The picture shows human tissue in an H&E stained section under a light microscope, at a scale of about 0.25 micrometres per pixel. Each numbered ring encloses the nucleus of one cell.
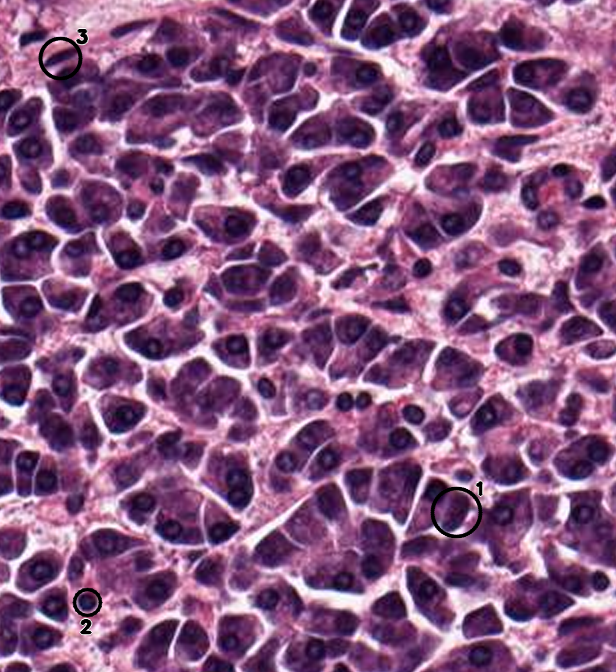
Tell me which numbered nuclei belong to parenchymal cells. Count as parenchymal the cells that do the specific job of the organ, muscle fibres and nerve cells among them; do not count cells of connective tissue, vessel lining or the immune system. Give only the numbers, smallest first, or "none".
1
